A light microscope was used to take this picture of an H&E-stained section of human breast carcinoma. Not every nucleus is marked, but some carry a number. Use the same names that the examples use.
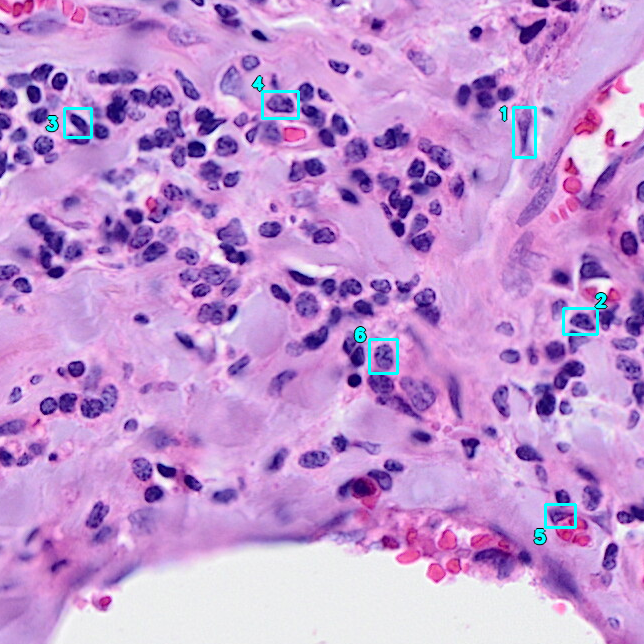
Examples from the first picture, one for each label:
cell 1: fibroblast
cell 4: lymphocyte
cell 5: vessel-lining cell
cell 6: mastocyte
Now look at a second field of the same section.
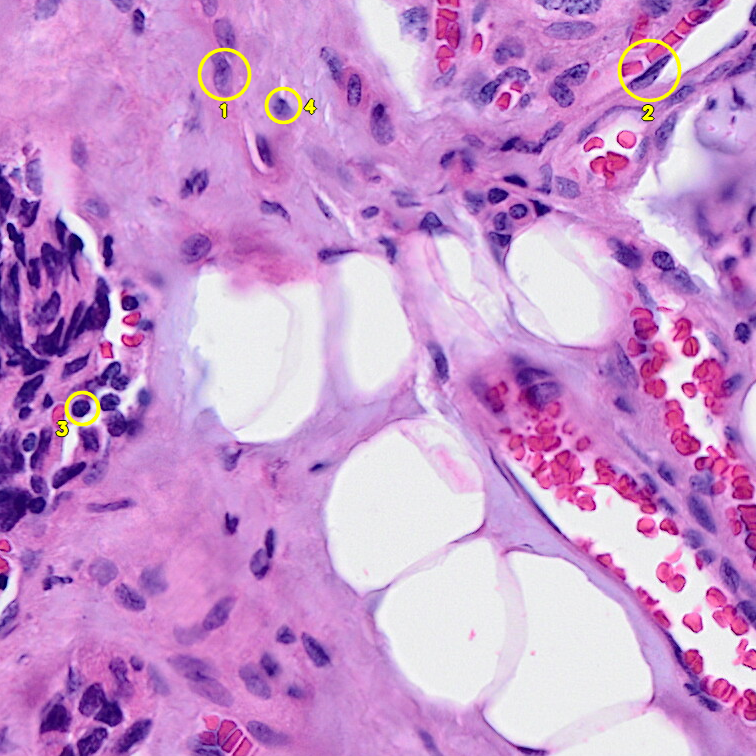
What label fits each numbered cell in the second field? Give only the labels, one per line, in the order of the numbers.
vessel-lining cell
vessel-lining cell
lymphocyte
fibroblast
